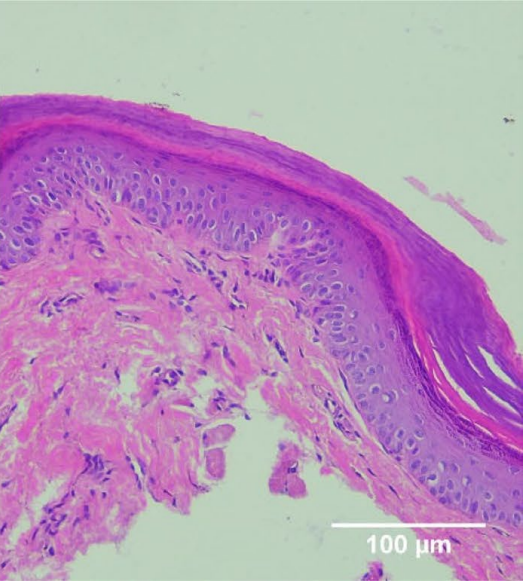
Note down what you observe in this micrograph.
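The epithelium has a row of small basal cells, several layers of larger polygonal cells with round nuclei above them, and a thick surface of layered keratin. The keratin includes a bright pink compact band and a darker purple outer layer.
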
